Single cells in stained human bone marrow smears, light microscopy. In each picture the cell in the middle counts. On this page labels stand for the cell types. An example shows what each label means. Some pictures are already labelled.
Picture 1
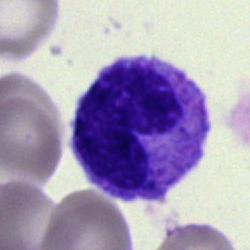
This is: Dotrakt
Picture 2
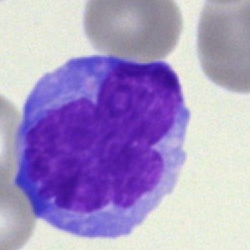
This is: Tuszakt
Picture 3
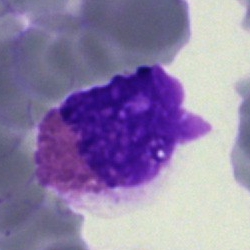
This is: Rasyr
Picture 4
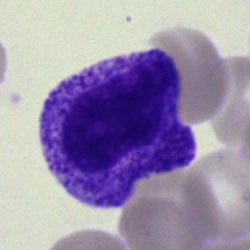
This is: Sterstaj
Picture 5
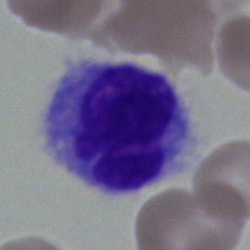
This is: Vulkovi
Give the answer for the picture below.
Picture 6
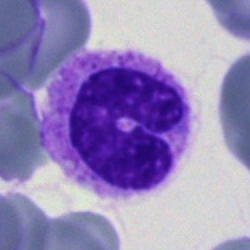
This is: Dotrakt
